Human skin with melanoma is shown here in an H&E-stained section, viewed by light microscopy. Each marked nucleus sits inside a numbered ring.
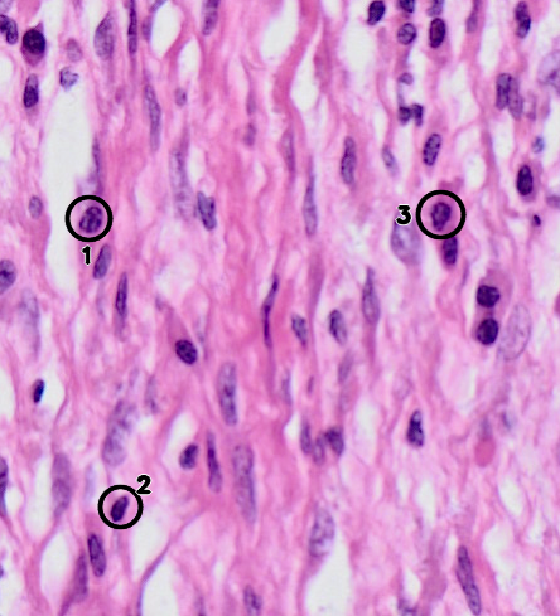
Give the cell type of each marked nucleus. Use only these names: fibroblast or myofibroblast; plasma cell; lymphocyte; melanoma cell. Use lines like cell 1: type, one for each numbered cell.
cell 1: plasma cell
cell 2: lymphocyte
cell 3: plasma cell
